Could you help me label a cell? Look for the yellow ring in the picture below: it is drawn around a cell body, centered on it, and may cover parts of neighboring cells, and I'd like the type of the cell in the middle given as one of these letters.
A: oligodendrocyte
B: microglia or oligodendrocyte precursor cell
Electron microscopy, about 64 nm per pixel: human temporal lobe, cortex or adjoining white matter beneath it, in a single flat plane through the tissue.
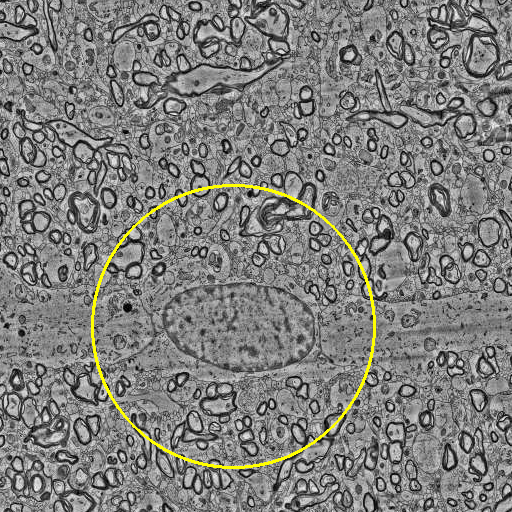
B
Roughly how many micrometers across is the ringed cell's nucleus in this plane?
About 10 by 6 micrometres, the nucleus being clearly longer than it is wide in this plane.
